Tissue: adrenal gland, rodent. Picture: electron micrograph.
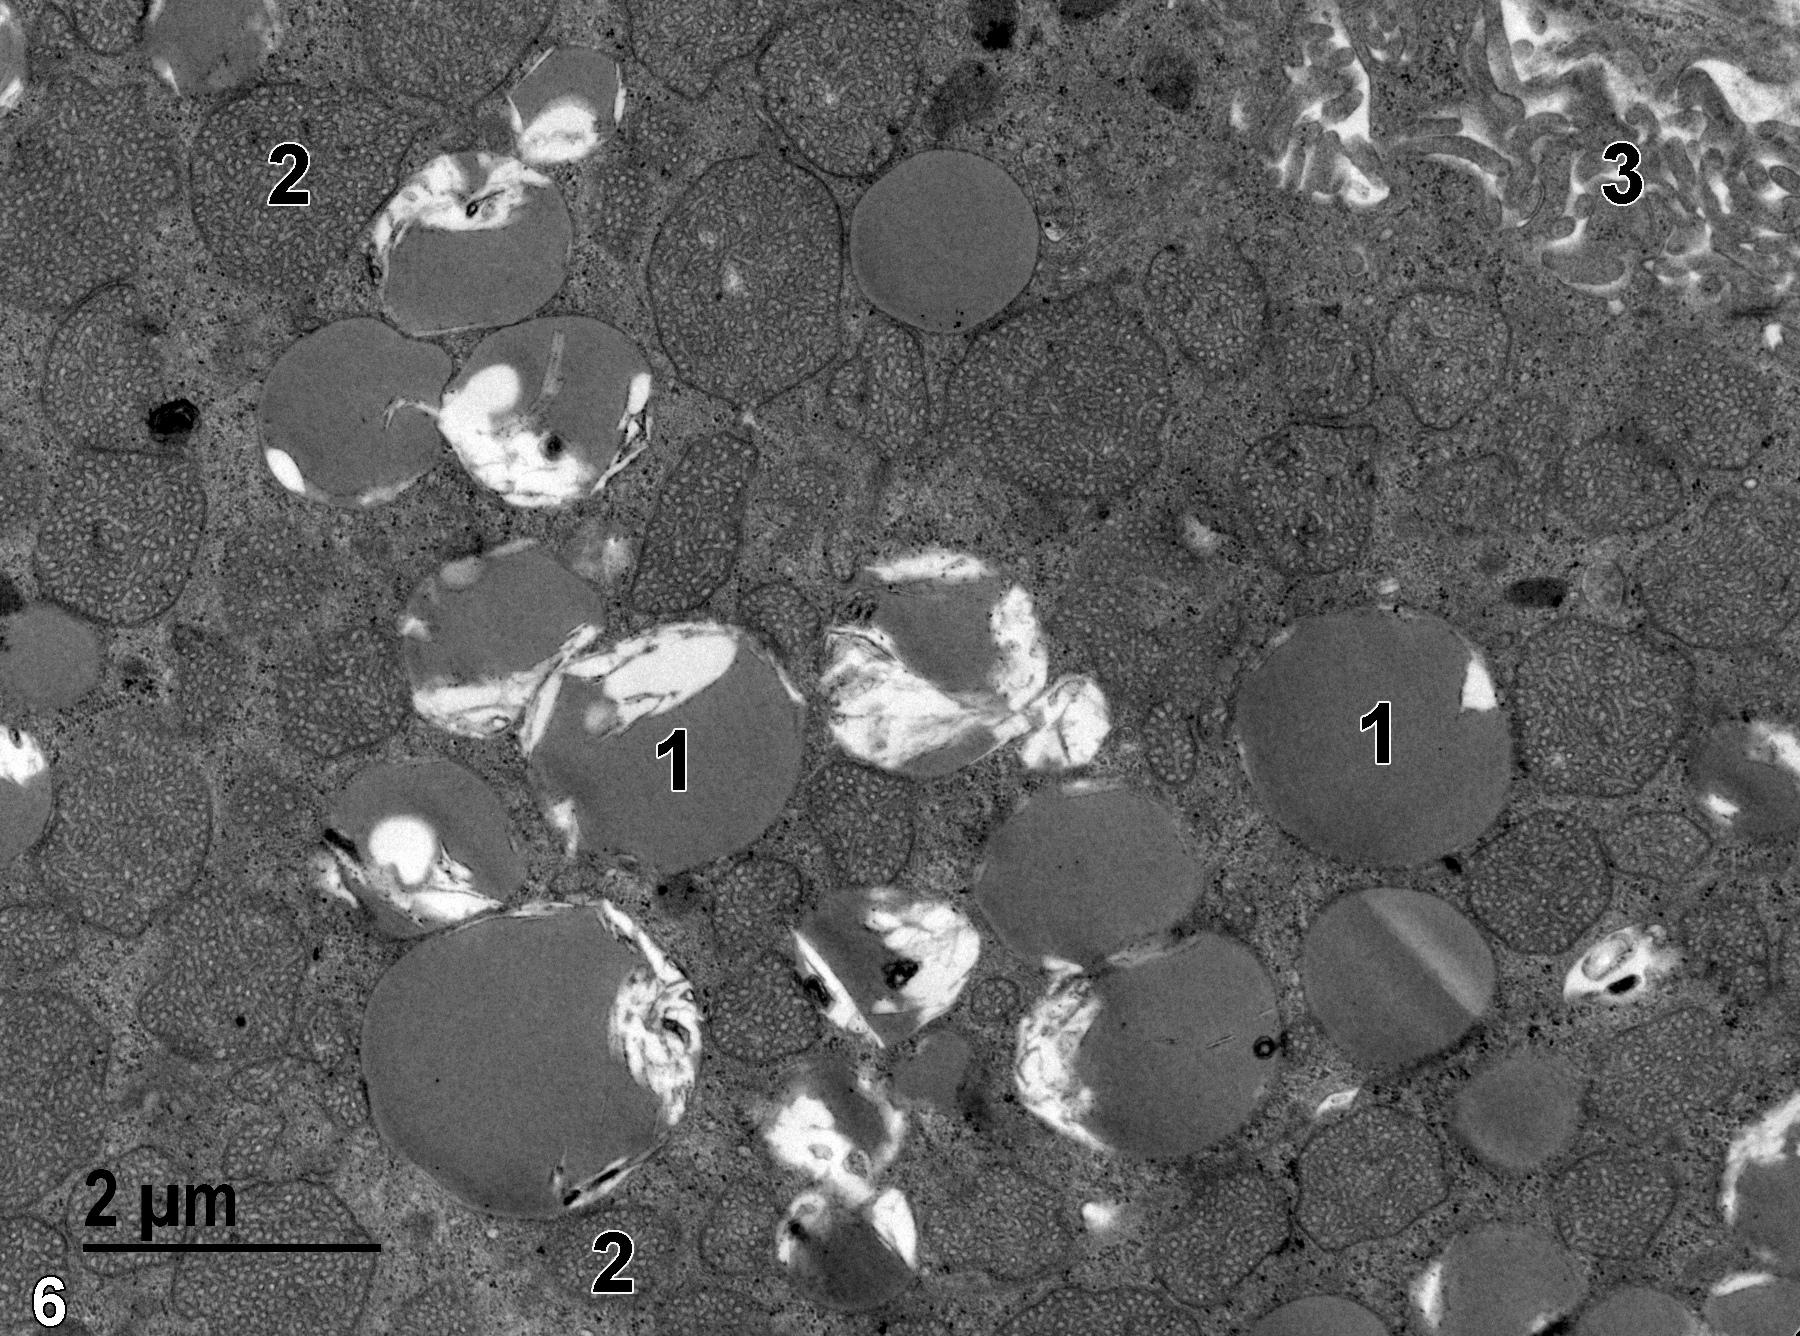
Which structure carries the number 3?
Microvilli.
